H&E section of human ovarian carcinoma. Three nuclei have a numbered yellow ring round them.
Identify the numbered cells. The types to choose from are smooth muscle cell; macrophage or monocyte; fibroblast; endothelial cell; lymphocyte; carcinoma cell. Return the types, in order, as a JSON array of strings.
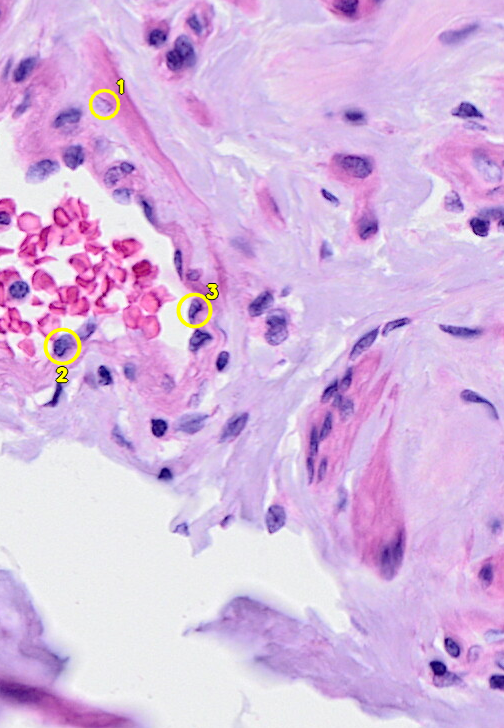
["smooth muscle cell", "endothelial cell", "endothelial cell"]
